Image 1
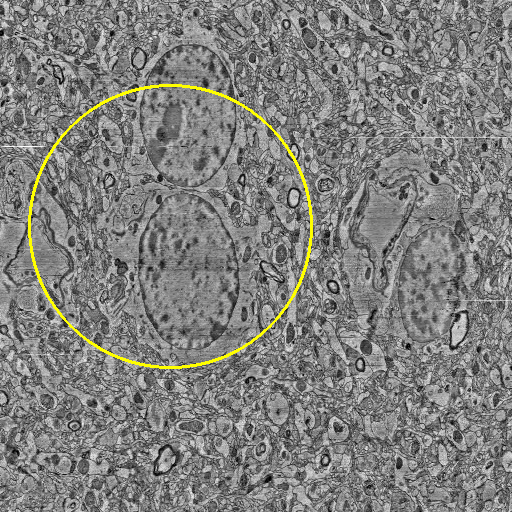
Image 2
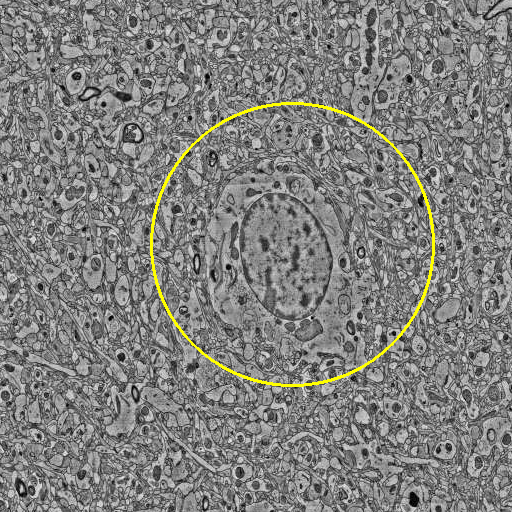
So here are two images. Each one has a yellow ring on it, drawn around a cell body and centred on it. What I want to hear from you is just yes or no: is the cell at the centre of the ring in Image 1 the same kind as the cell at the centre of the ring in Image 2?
yes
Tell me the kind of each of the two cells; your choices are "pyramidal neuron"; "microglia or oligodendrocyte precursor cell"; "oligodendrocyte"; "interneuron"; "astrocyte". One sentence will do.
Each of the two pictures has an astrocyte at the ring centre.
